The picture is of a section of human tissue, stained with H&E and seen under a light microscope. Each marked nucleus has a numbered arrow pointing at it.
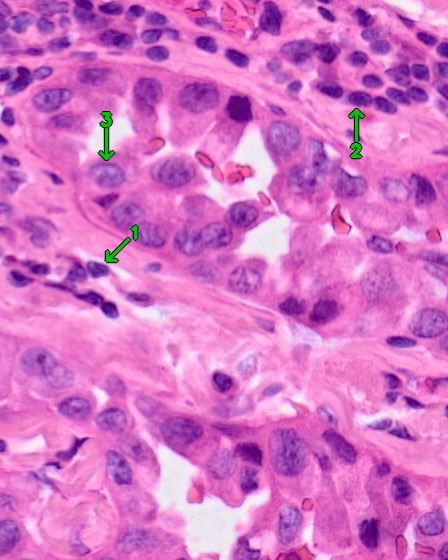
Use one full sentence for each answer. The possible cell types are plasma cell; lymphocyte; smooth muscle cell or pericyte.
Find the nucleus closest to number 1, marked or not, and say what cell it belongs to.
The nearest nucleus to number 1 belongs to a plasma cell.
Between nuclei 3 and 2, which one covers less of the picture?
The smaller nucleus is 2, and 3 covers roughly 3 times its area.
